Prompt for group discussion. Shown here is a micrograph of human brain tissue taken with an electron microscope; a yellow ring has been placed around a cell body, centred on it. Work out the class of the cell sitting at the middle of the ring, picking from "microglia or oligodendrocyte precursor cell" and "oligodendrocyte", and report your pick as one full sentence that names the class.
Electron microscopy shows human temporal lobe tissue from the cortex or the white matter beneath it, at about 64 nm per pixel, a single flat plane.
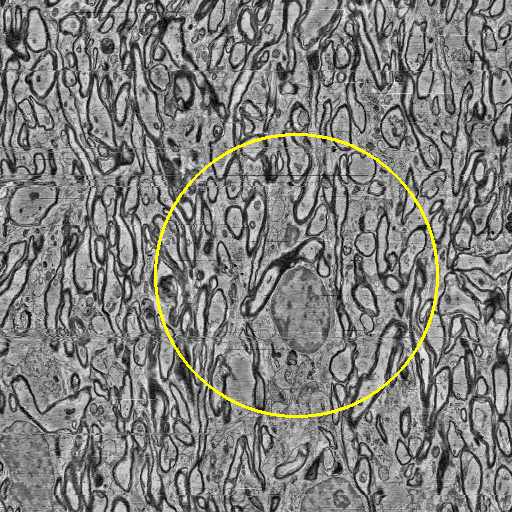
The cell sitting at the middle of the yellow ring is a microglial cell or oligodendrocyte precursor cell.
